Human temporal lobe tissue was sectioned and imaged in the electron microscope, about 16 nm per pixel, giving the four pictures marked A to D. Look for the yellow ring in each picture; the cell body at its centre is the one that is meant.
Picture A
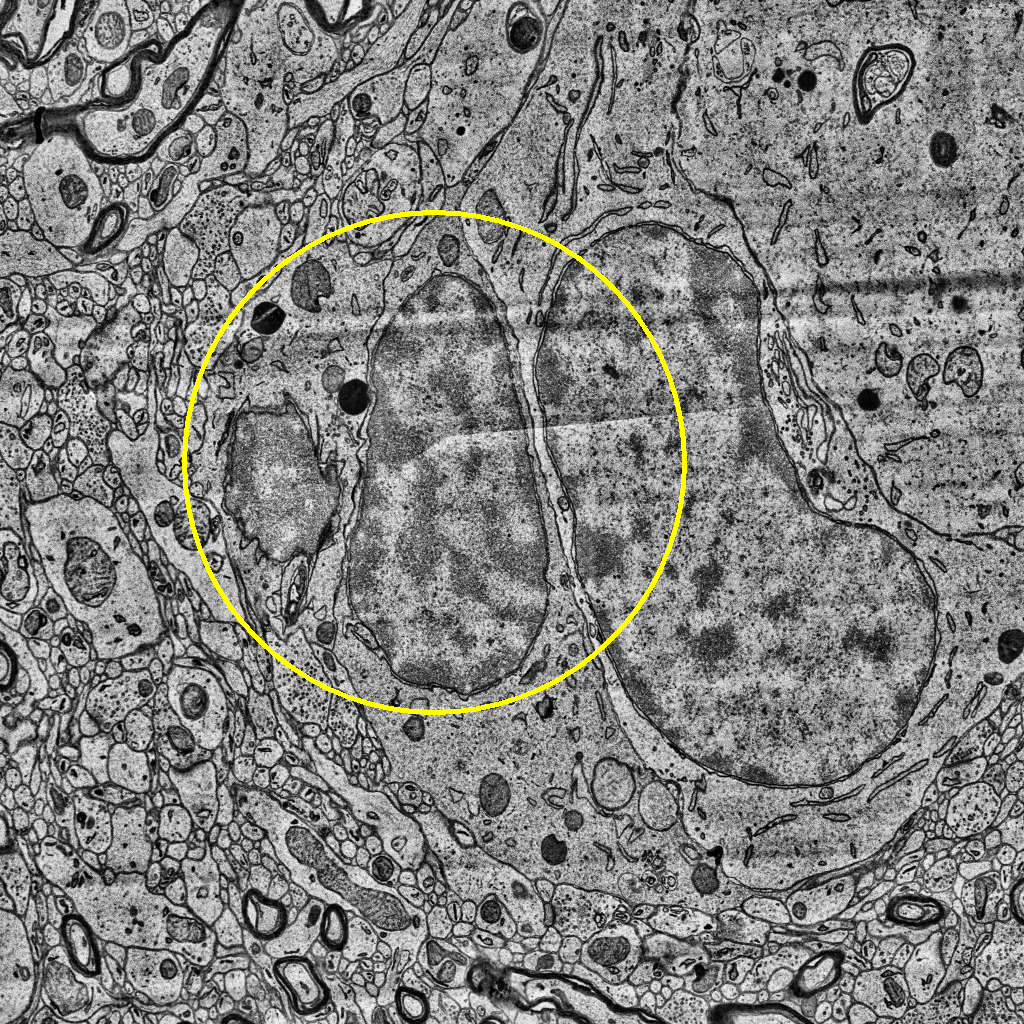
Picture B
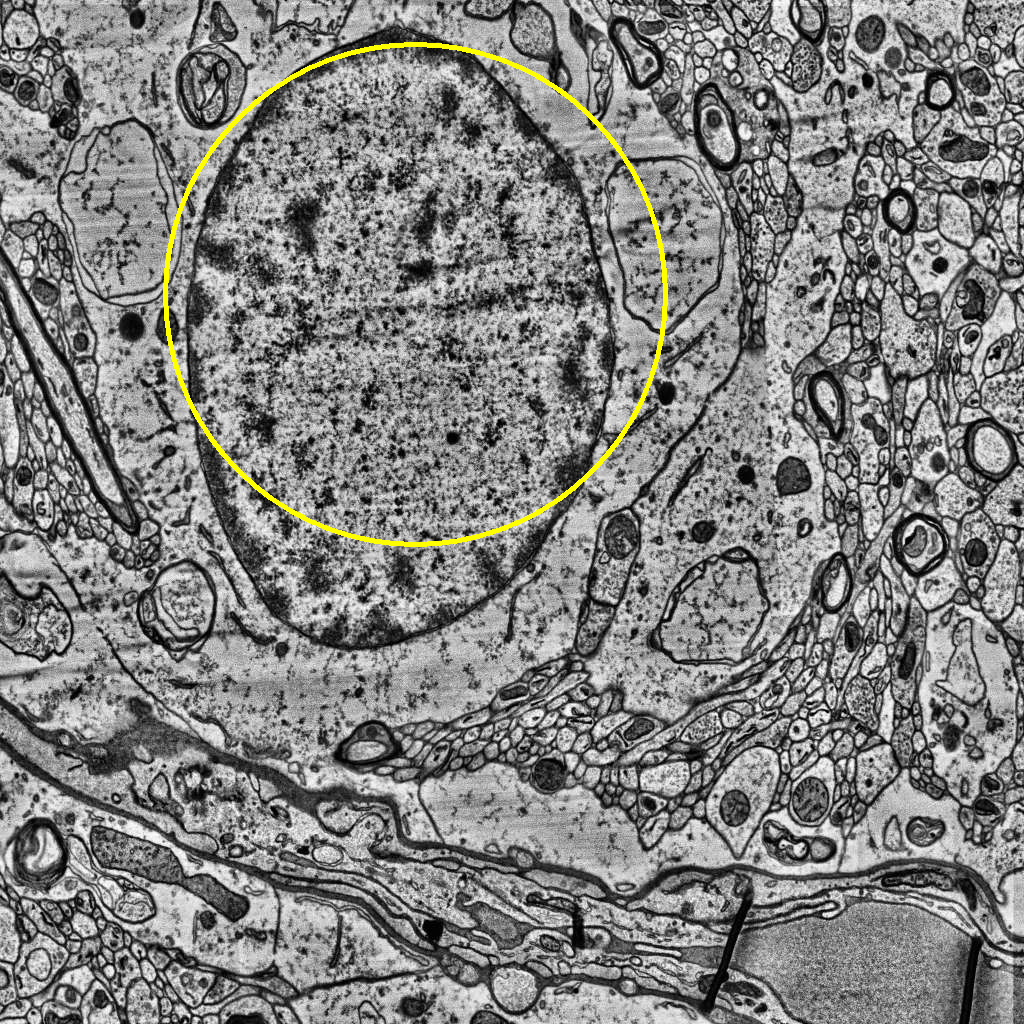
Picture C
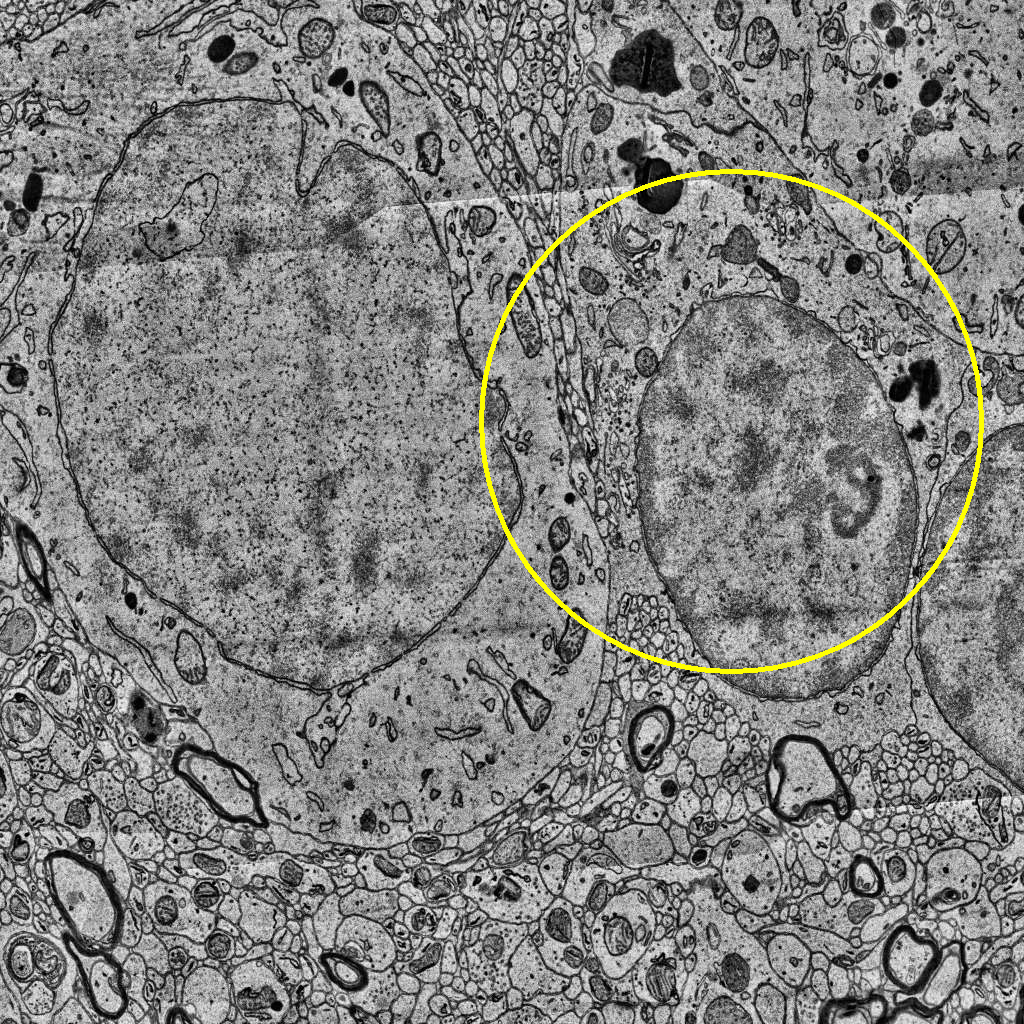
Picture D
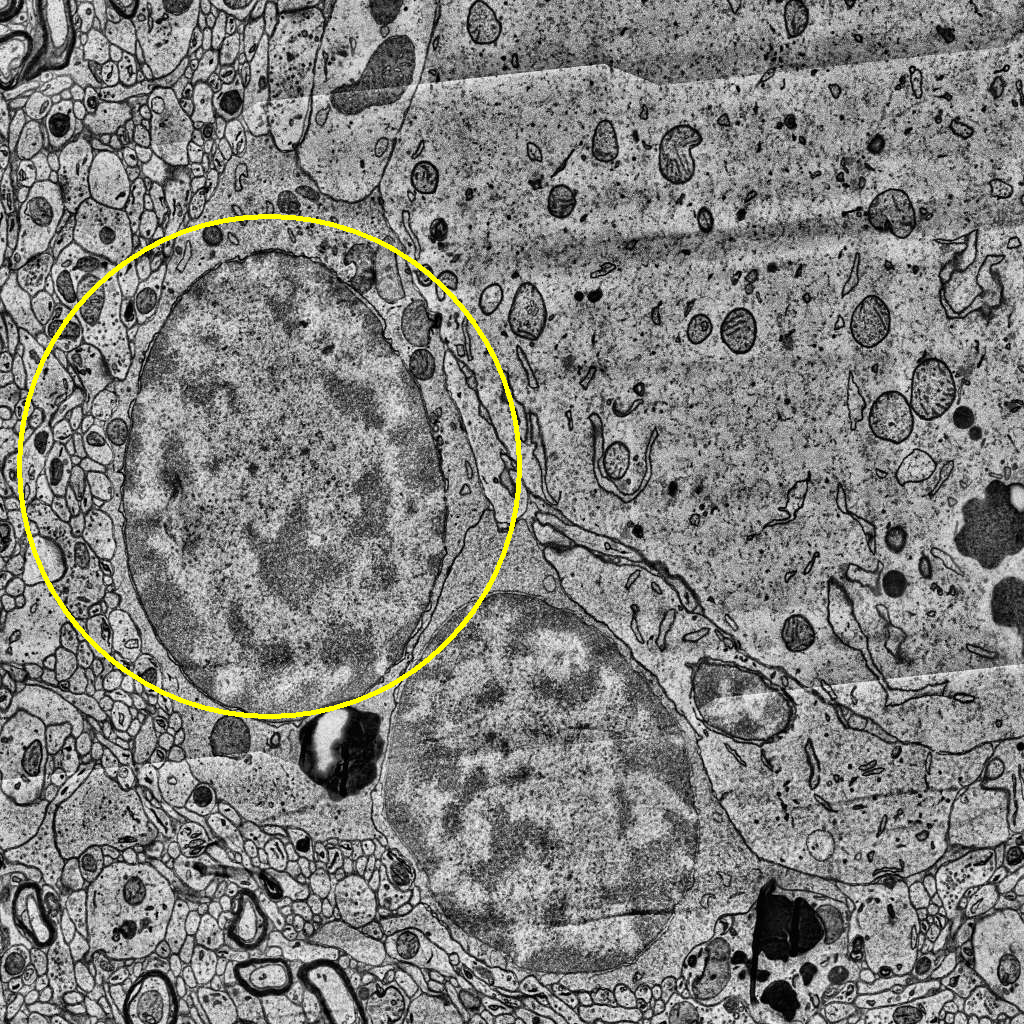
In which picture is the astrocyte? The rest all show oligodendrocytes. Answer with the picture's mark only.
B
